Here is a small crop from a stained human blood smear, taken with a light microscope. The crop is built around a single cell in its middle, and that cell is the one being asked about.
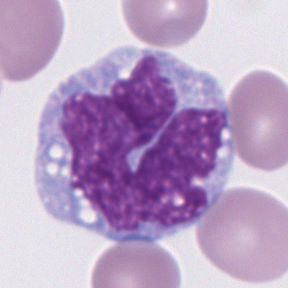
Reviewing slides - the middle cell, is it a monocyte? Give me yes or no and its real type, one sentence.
Yes, centred in the crop is a monocyte.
